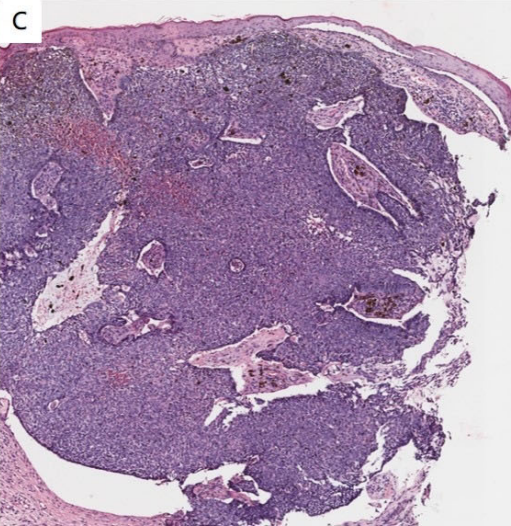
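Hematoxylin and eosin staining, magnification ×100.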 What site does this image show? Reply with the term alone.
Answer: Located in the dermis.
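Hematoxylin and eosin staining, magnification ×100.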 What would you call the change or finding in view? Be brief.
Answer: Pigmentation within the tumor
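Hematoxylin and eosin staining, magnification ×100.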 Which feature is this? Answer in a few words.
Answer: artificial contraction spaces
